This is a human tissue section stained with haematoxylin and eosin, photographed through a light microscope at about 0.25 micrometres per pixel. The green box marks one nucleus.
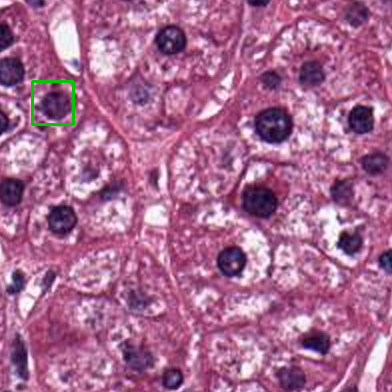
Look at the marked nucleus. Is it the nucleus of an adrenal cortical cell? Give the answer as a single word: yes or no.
yes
